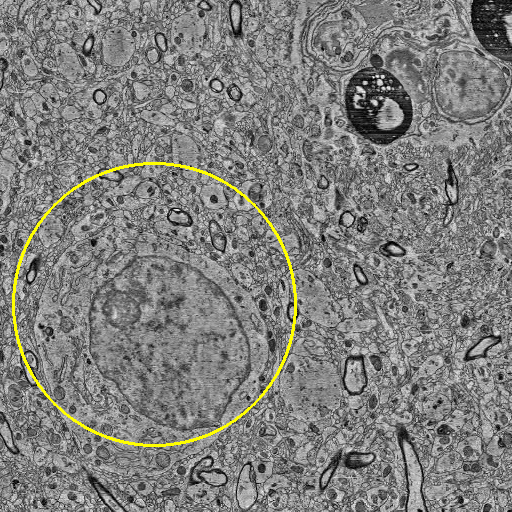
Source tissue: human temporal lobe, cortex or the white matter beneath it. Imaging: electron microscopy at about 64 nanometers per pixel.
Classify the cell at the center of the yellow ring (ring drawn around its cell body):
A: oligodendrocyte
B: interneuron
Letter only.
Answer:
B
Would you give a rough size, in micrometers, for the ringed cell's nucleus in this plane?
Roughly 12 by 10 micrometres is the size of the nucleus in this plane.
